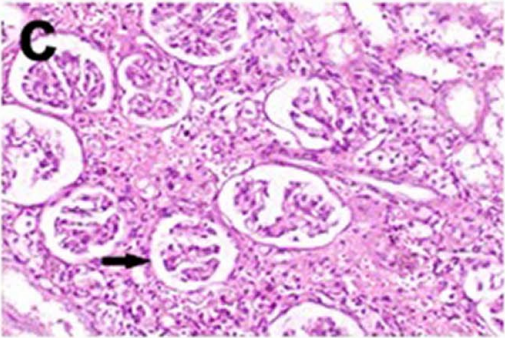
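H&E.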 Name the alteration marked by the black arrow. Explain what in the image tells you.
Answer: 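Glomerular atrophy. The arrow points to a glomerulus whose tuft is small and separated from its capsule by a wide clear space. Several neighbouring glomeruli show the same wide clear space around a shrunken tuft.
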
